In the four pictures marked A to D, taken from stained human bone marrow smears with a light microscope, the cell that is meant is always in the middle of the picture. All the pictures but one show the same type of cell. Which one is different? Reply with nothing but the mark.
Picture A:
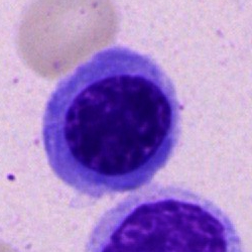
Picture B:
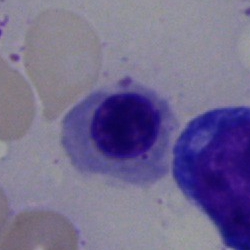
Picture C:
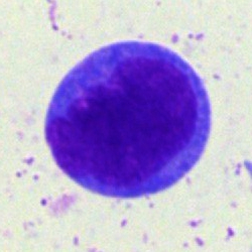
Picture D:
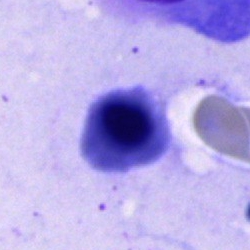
C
